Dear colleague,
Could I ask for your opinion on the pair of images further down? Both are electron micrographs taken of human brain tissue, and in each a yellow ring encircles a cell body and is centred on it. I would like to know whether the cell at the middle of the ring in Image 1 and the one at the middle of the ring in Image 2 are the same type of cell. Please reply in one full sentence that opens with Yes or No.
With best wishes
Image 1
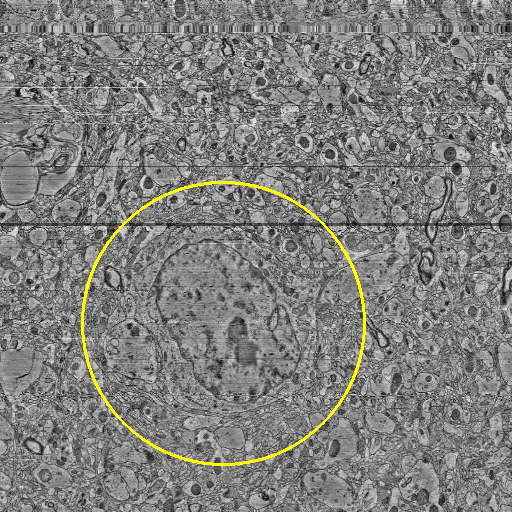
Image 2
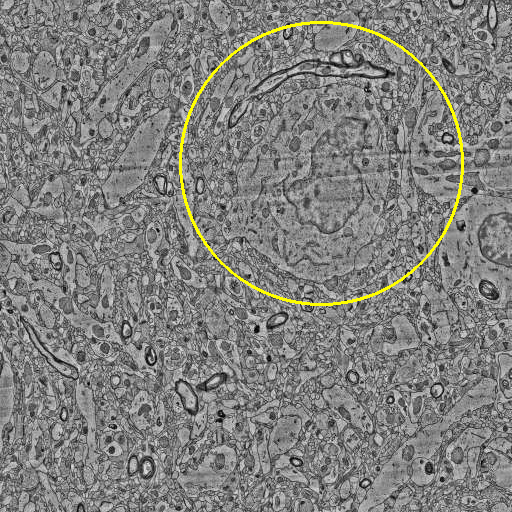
Yes, the cells at the ring centres in Image 1 and Image 2 are of one type.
